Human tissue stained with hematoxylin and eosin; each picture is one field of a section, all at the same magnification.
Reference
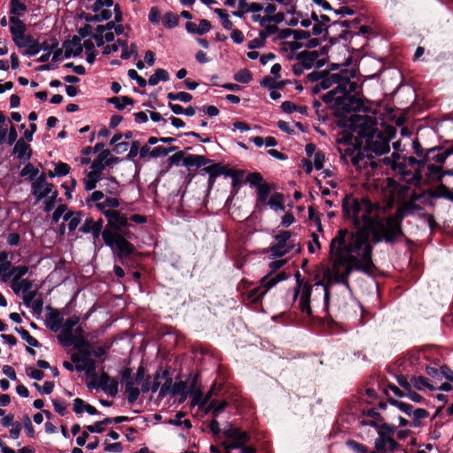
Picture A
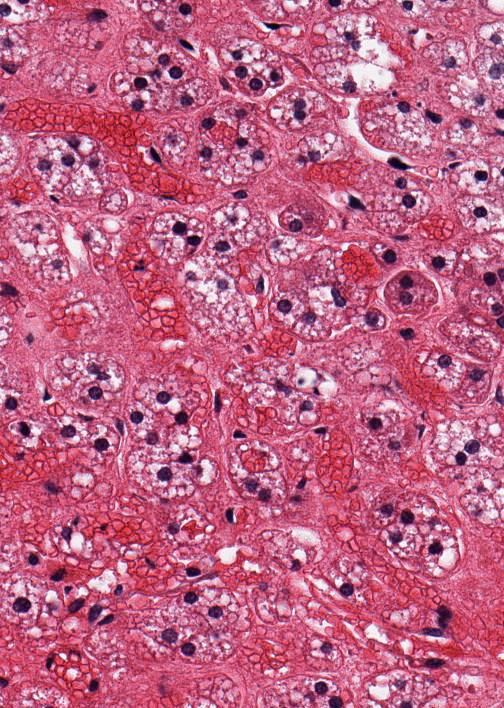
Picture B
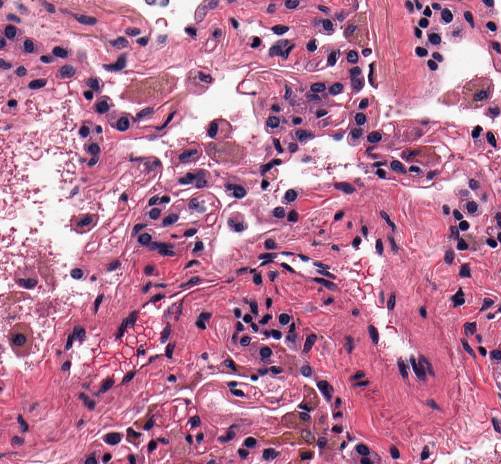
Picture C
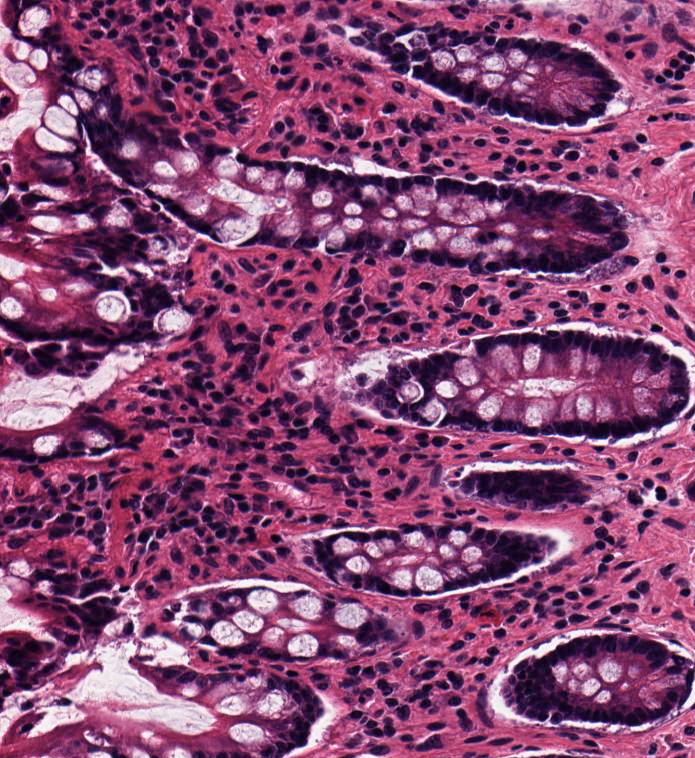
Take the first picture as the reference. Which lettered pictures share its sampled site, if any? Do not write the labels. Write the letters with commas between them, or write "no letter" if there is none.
C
